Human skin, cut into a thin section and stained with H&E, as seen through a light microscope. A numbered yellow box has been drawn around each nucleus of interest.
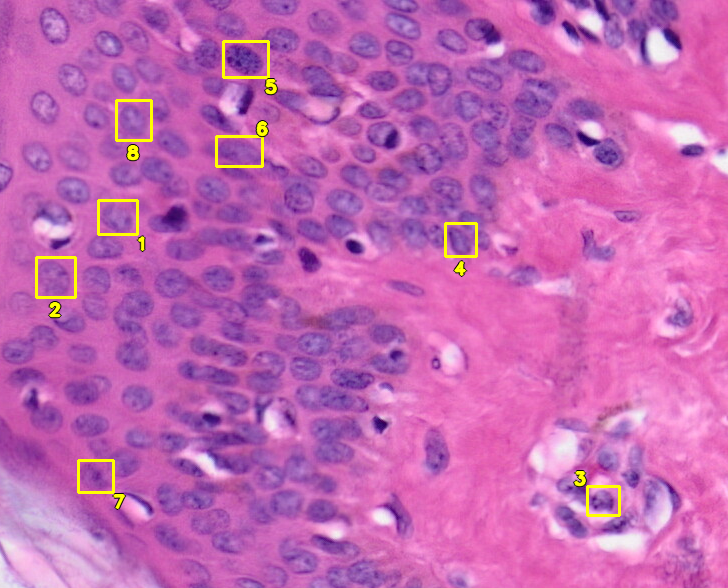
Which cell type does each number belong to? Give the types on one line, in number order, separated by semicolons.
suprabasal keratinocyte; suprabasal keratinocyte; endothelial cell; basal keratinocyte; basal keratinocyte; basal keratinocyte; suprabasal keratinocyte; suprabasal keratinocyte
